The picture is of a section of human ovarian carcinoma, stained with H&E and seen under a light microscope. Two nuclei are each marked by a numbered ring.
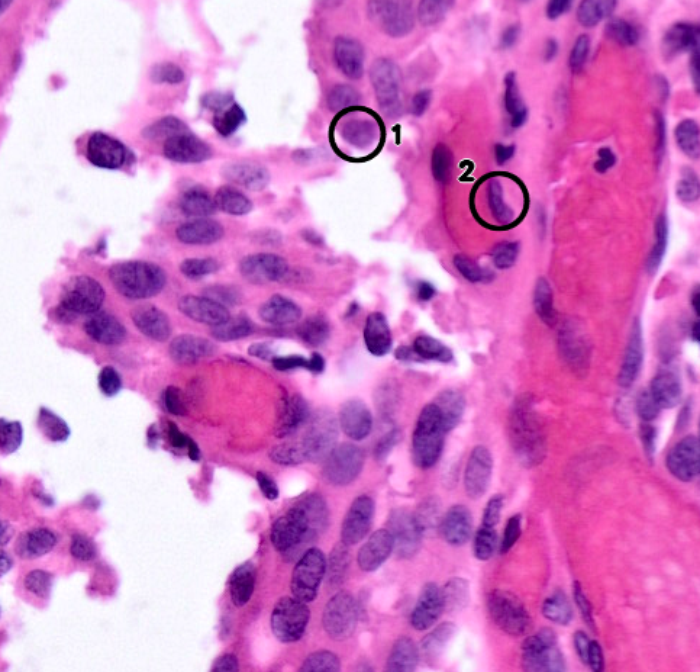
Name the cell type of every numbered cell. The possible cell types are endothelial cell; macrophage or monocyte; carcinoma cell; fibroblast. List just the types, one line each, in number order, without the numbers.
carcinoma cell
endothelial cell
